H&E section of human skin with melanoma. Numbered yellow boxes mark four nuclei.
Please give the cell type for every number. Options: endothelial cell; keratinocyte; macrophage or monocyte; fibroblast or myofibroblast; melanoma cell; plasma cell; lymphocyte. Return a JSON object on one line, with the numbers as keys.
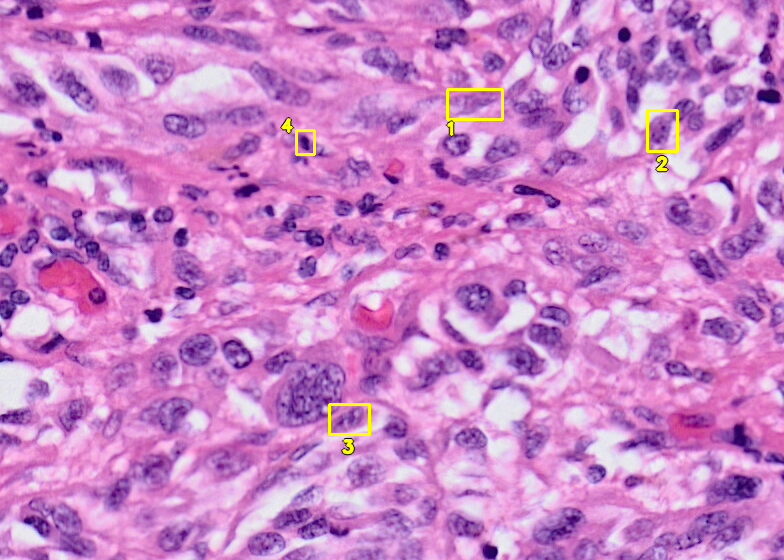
{"1": "melanoma cell", "2": "melanoma cell", "3": "melanoma cell", "4": "lymphocyte"}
